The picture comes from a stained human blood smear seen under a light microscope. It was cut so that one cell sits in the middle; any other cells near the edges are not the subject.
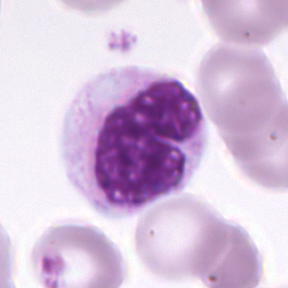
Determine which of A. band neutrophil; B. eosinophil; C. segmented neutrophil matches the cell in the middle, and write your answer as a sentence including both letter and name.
The cell in the middle is a band neutrophil, and that makes option A correct.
